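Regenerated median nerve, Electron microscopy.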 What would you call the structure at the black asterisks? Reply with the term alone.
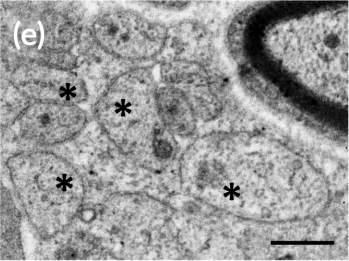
Unmyelinated.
